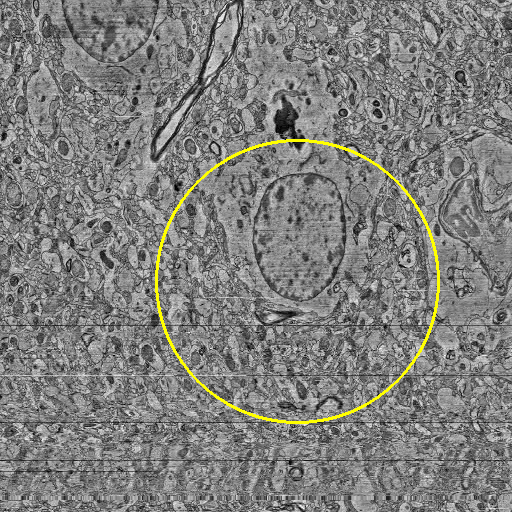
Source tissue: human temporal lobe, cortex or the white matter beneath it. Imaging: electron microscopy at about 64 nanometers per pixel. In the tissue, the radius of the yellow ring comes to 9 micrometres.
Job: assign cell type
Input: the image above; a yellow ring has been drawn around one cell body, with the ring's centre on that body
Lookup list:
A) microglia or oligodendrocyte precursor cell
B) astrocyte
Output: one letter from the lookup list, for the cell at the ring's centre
B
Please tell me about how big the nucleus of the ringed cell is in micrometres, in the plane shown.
Roughly 8 by 6 micrometres in this plane, for the nucleus of the ringed cell.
